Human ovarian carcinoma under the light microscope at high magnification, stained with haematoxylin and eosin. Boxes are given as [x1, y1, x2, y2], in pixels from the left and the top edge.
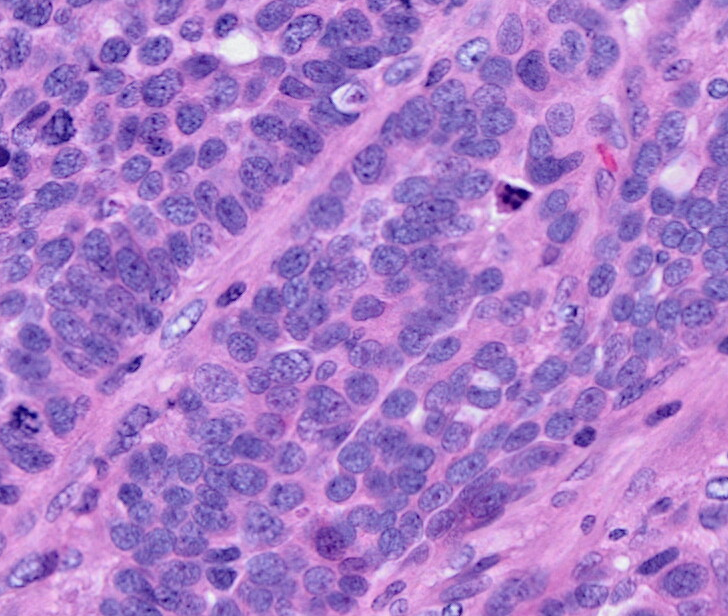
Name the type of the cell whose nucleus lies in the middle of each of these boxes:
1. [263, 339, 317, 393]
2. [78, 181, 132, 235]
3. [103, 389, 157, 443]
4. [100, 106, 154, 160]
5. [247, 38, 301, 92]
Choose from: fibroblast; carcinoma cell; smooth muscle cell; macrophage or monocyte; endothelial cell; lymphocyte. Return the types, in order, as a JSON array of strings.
["carcinoma cell", "macrophage or monocyte", "fibroblast", "carcinoma cell", "carcinoma cell"]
